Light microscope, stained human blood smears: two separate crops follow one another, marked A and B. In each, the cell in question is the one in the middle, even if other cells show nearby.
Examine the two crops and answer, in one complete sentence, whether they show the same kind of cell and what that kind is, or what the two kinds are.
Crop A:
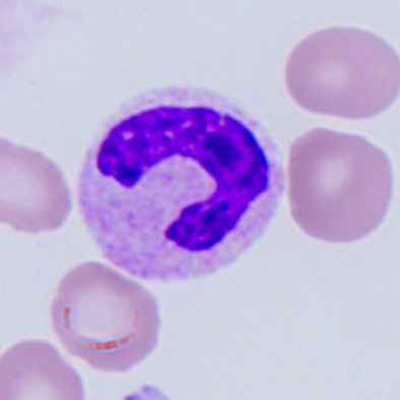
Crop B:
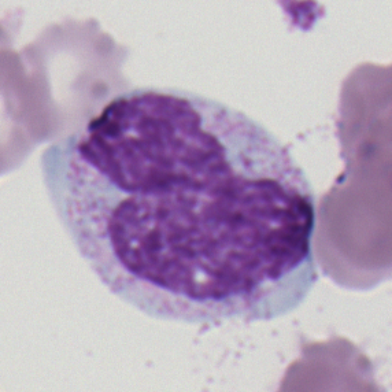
Yes, what both crops show at their centres are band neutrophils.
